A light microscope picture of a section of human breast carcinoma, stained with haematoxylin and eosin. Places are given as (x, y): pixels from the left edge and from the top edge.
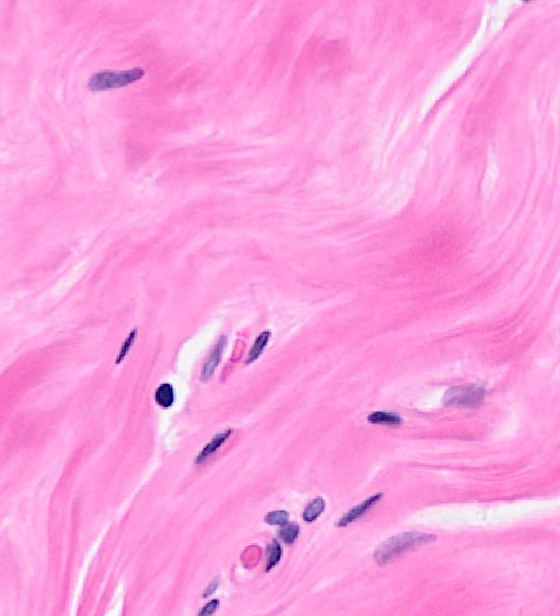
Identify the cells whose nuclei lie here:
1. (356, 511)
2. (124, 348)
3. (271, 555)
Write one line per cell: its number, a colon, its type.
1: fibroblast
2: fibroblast
3: endothelial cell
